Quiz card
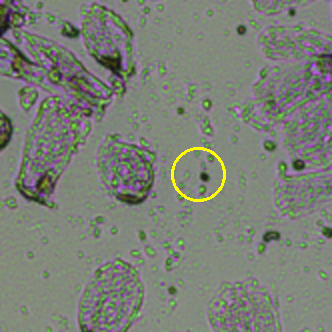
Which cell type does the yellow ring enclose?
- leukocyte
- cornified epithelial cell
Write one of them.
leukocyte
